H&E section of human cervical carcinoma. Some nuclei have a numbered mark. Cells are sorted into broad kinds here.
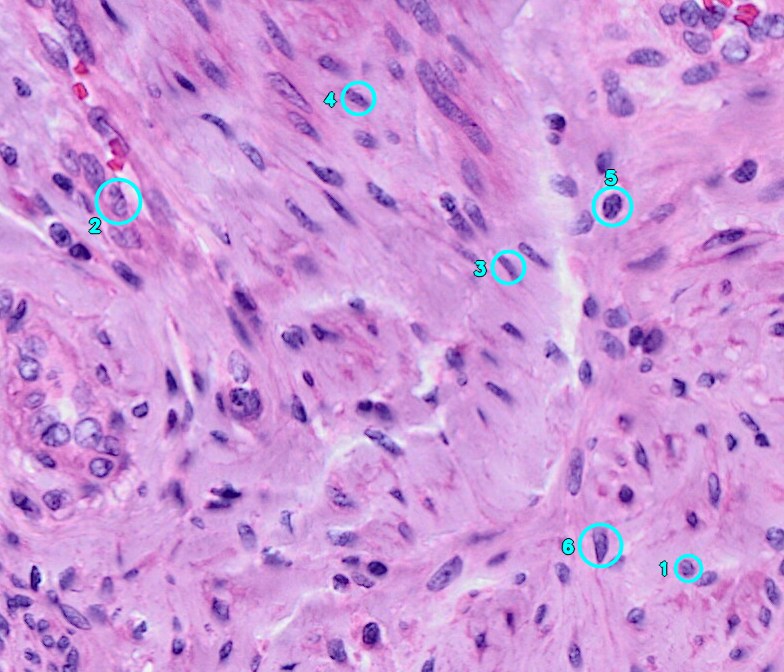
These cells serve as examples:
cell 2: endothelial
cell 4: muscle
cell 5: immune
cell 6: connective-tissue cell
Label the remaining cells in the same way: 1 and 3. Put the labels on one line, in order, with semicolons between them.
muscle; connective-tissue cell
